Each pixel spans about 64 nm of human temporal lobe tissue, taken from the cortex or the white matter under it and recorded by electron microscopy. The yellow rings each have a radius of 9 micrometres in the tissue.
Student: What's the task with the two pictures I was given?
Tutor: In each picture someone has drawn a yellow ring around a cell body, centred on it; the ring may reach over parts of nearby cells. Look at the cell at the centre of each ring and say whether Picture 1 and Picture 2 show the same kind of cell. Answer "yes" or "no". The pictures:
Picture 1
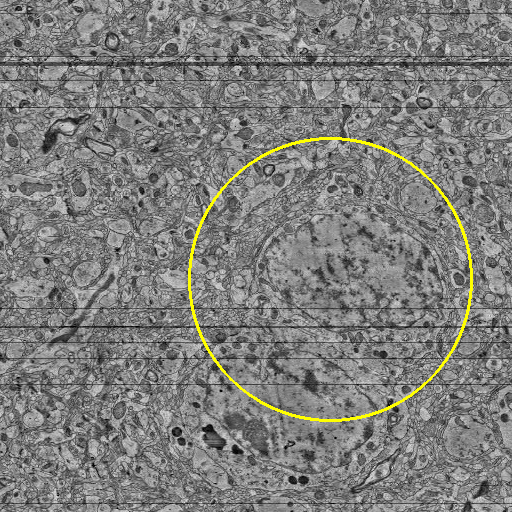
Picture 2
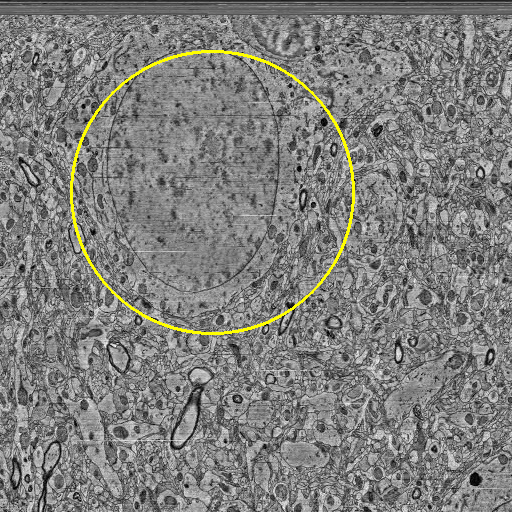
no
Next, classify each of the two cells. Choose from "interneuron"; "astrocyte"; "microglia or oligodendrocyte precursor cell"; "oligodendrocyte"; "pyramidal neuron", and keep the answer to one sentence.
In the first picture it is an interneuron; in the second it is a pyramidal neuron.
